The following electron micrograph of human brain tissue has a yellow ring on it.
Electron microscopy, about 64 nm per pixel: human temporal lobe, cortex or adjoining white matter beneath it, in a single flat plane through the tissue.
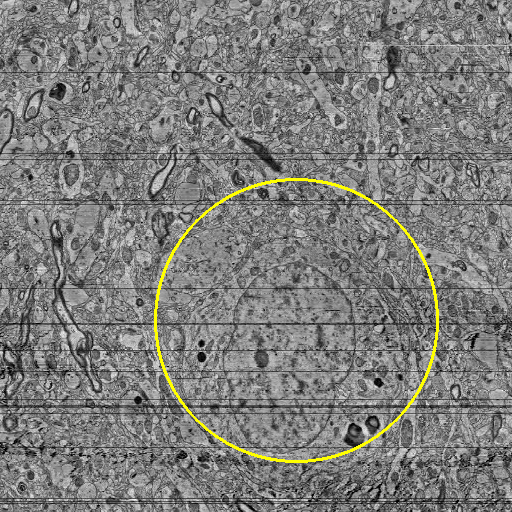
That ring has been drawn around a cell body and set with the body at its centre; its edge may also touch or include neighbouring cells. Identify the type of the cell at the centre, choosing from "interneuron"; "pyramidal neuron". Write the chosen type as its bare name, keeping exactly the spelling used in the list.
interneuron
